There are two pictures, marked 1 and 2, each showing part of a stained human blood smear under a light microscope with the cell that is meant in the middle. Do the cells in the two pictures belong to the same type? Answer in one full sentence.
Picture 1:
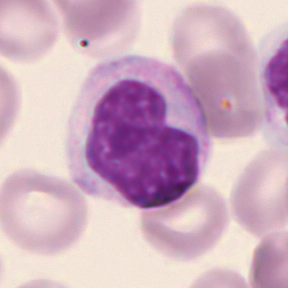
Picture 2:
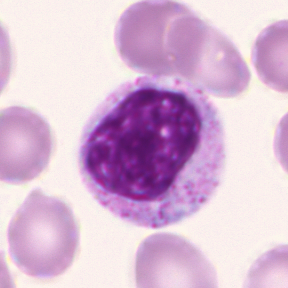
Yes, both are metamyelocytes.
